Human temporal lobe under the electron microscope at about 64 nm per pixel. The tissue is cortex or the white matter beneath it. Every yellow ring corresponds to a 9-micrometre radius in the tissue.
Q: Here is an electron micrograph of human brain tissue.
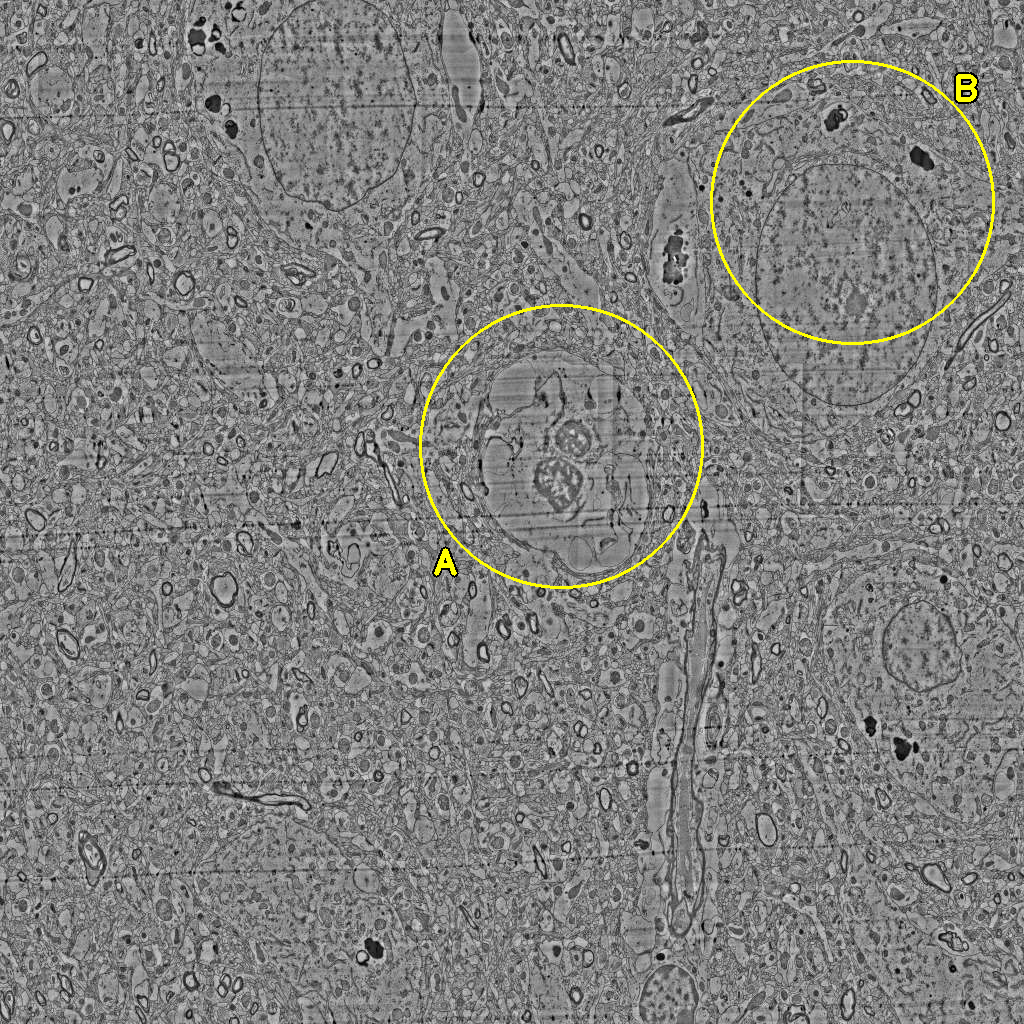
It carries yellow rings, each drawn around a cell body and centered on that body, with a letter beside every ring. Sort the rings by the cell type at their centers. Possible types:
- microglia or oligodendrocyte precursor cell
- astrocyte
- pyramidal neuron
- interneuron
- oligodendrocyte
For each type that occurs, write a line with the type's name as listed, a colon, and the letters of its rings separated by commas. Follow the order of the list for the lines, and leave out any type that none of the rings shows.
astrocyte: A
pyramidal neuron: B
